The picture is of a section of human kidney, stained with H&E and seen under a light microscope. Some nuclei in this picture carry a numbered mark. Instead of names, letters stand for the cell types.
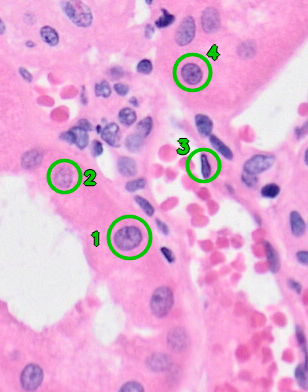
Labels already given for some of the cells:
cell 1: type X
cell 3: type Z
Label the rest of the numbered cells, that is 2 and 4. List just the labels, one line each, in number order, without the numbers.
type X
type X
